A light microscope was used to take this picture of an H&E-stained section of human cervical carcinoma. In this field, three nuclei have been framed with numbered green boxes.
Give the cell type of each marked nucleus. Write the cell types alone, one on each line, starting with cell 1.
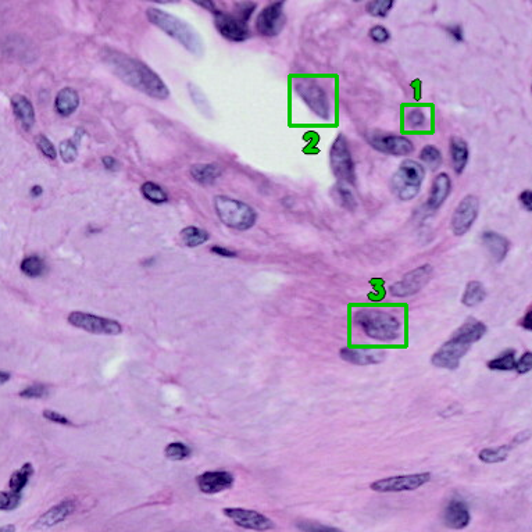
smooth muscle cell
endothelial cell
smooth muscle cell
